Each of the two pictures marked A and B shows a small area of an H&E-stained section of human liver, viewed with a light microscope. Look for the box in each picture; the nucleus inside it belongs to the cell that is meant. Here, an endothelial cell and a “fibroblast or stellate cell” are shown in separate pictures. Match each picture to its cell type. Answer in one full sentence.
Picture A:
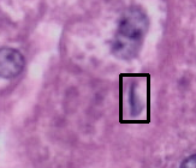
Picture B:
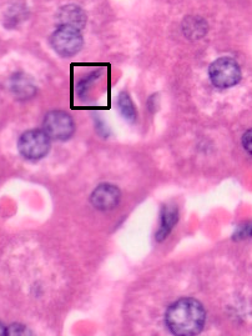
Picture B shows a “fibroblast or stellate cell”, while picture A shows an endothelial cell.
